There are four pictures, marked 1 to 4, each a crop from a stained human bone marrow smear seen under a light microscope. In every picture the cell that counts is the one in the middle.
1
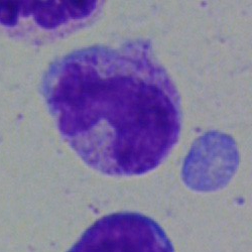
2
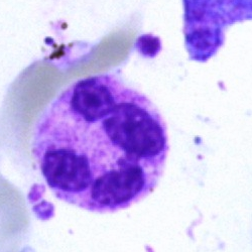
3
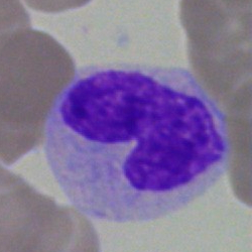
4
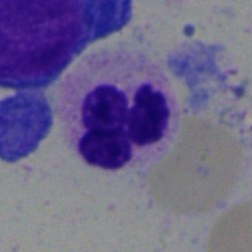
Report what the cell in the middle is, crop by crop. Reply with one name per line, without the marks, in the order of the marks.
band neutrophil
segmented neutrophil
band neutrophil
segmented neutrophil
